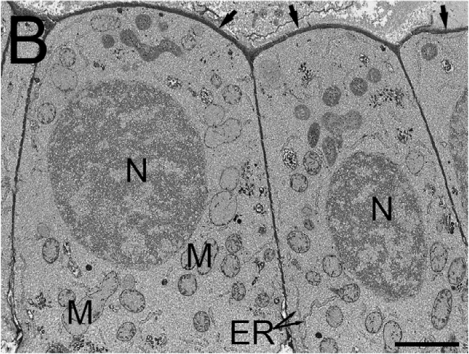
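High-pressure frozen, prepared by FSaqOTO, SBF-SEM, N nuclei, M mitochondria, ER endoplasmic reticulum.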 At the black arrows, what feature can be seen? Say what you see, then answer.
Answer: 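The arrows point to a thin dark line bounding the top of the cells. The dark line is continuous over the adjacent cells.
Thin electron dense cell wall.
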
